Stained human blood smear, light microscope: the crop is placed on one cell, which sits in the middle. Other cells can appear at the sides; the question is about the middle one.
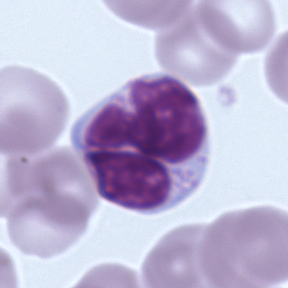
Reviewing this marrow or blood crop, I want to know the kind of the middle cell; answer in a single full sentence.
Looking at the middle of the crop, the cell there is a large granular lymphocyte.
